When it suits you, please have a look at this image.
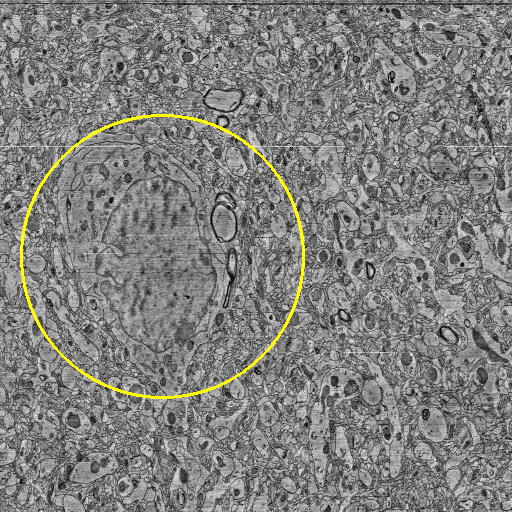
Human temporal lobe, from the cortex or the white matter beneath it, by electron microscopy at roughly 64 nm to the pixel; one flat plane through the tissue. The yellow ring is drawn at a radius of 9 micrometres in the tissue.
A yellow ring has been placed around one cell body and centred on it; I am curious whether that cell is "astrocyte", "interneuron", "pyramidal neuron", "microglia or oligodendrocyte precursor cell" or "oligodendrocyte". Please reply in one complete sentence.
The ringed cell, an interneuron, has its body at the centre of the yellow ring.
